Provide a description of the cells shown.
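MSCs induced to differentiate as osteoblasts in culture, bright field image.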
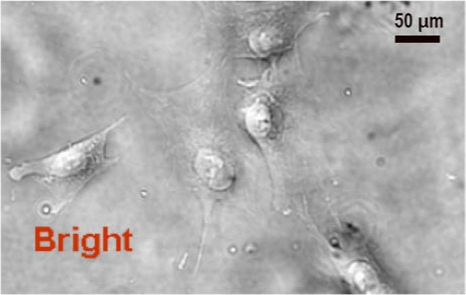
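The cells are sparse and lie singly or in small loose groups. Several have a rounded, raised central body with a visible nucleus-like region, from which thin, tapering processes extend across the substrate. Small round refractile particles are scattered over the background.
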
